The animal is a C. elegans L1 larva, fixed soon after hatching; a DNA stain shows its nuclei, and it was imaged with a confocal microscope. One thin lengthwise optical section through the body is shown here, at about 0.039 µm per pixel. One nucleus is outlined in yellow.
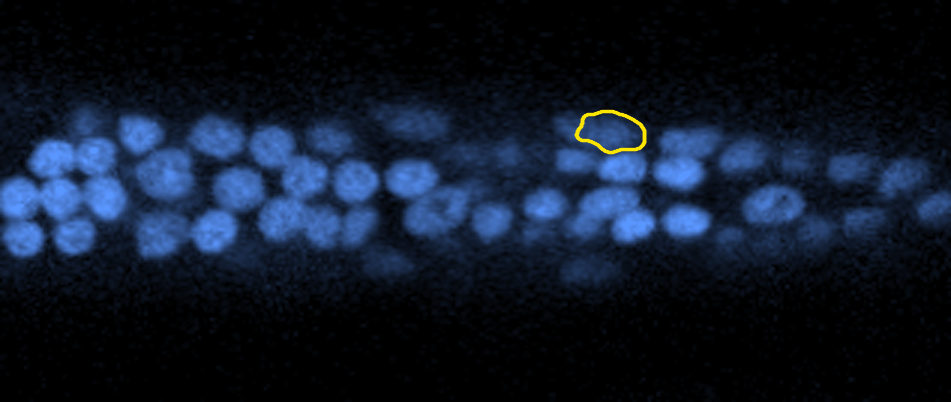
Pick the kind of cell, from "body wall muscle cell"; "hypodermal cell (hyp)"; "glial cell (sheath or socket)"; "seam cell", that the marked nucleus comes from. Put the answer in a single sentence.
It is the nucleus of a body wall muscle cell.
